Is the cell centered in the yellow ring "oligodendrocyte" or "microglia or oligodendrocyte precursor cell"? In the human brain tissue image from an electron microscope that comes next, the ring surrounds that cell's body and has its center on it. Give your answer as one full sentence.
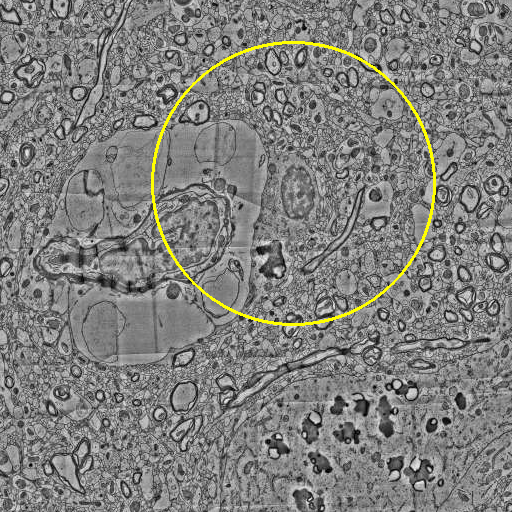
The cell at the center of the yellow ring is an oligodendrocyte in the micrograph.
